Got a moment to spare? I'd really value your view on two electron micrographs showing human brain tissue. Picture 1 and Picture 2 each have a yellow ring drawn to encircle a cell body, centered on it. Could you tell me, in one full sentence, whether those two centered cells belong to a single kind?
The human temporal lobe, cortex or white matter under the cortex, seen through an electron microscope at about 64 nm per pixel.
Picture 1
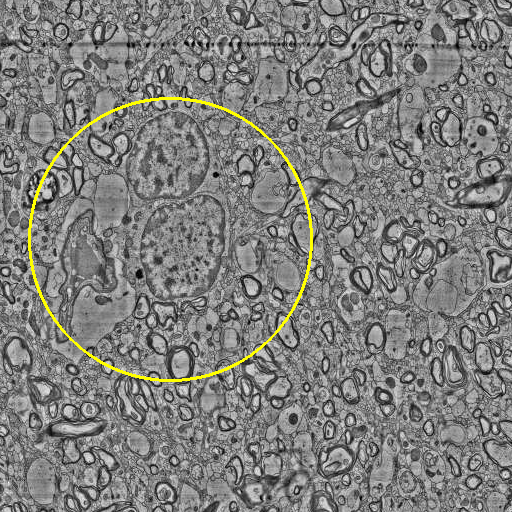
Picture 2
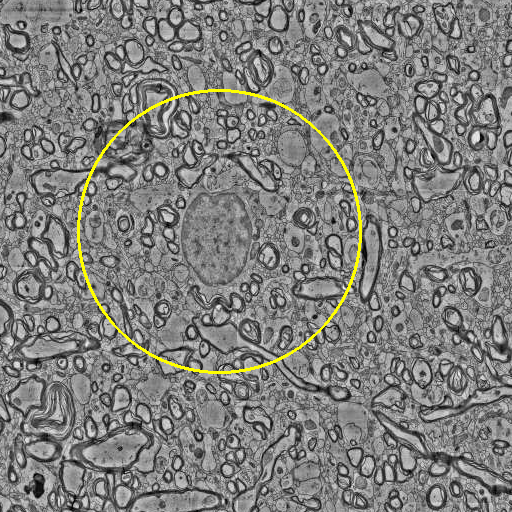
Yes, the two centered cells in Picture 1 and Picture 2 are of a single kind.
